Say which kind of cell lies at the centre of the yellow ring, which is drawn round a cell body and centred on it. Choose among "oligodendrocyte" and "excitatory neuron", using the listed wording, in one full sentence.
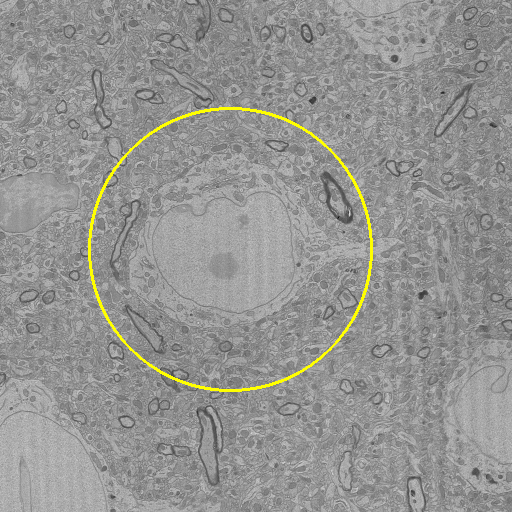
Going by the list, the cell at the yellow ring's centre is an excitatory neuron.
